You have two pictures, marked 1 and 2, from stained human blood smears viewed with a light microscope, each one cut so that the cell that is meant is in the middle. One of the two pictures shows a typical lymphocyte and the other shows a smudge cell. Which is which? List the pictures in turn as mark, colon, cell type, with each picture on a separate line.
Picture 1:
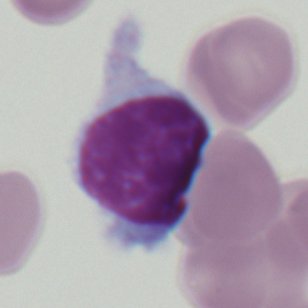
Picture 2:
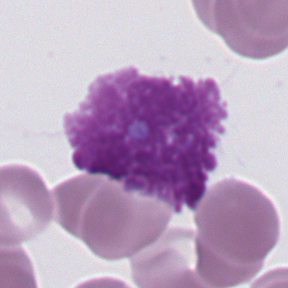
1: typical lymphocyte
2: smudge cell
